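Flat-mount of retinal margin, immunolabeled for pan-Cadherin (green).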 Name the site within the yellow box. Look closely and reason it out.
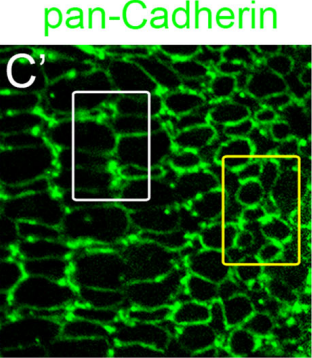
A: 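Inside the yellow box the outlined profiles are round and crowded. The profiles there are not yet aligned in regular columns. The answer: pre-column zone.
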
